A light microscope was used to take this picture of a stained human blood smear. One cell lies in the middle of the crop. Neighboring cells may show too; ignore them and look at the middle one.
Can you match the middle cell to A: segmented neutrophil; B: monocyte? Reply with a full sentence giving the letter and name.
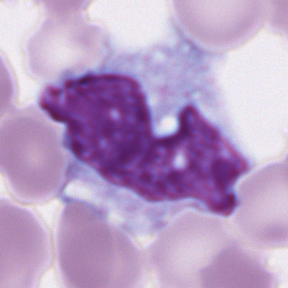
Option B stands as correct, the central cell being a monocyte.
